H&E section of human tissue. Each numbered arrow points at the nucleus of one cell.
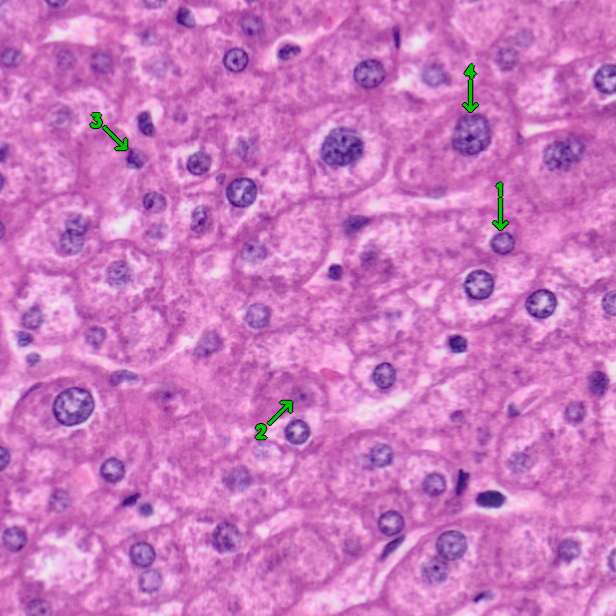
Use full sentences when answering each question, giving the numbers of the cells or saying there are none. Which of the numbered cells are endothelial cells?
Exactly one of the numbered cells is an endothelial cell, namely cell 3.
